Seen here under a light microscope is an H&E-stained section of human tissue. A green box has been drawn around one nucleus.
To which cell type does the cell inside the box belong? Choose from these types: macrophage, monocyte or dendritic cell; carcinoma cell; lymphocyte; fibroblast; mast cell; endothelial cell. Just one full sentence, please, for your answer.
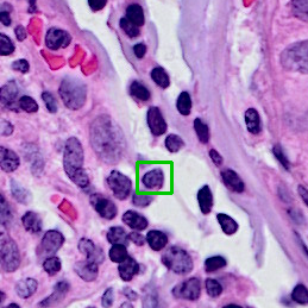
In short, the cell inside the box on this section is a lymphocyte.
